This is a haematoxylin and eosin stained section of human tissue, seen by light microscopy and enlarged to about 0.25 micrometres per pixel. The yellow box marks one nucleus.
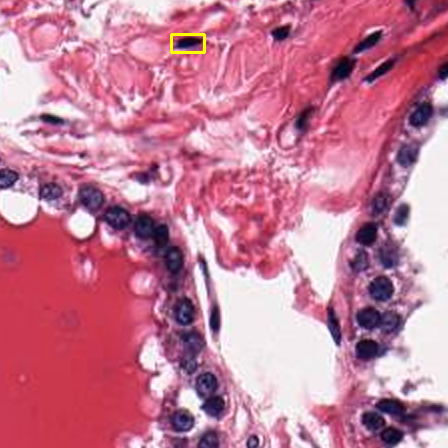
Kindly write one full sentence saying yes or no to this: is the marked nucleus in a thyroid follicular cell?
No, the marked nucleus does not belong to a thyroid follicular cell; it belongs to a supporting cell.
